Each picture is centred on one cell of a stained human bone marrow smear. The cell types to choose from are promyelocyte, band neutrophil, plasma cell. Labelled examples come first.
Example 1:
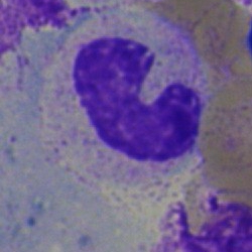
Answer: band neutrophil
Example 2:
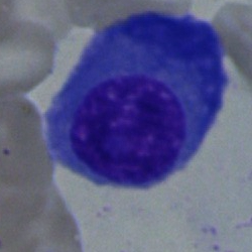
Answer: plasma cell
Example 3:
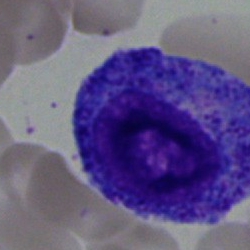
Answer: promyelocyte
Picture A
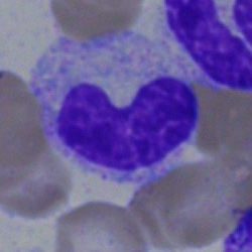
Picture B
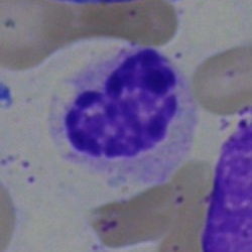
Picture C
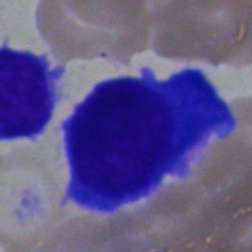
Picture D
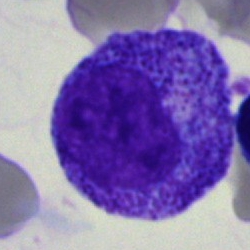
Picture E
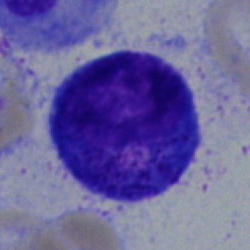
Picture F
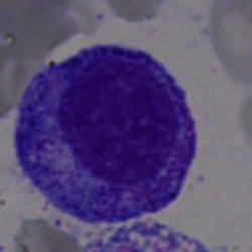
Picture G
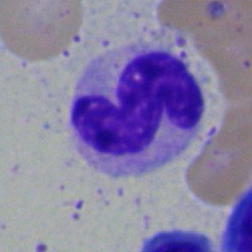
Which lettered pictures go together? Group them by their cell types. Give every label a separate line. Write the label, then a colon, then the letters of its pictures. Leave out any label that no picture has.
promyelocyte: D, E, F
band neutrophil: A, B, G
plasma cell: C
